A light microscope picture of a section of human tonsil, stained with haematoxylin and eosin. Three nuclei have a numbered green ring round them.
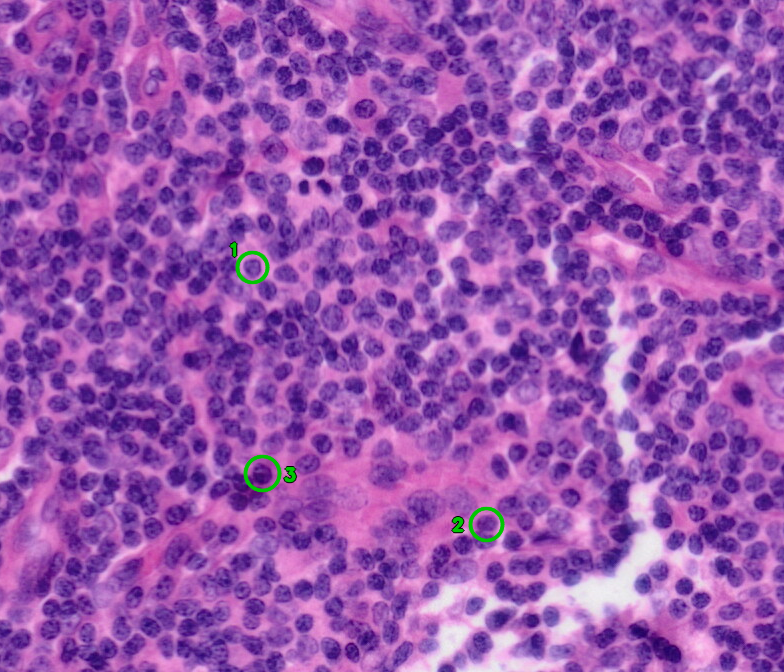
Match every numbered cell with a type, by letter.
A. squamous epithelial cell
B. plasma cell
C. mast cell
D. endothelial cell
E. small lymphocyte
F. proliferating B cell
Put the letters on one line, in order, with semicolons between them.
E; D; B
